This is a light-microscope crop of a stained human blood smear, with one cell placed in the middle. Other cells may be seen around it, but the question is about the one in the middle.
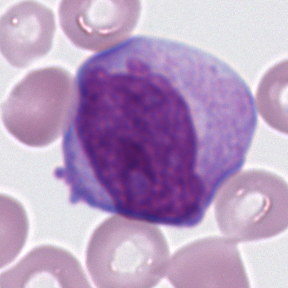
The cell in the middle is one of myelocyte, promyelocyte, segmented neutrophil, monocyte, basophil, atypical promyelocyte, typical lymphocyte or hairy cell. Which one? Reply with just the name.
atypical promyelocyte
